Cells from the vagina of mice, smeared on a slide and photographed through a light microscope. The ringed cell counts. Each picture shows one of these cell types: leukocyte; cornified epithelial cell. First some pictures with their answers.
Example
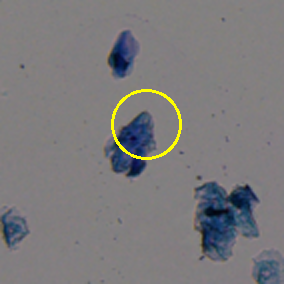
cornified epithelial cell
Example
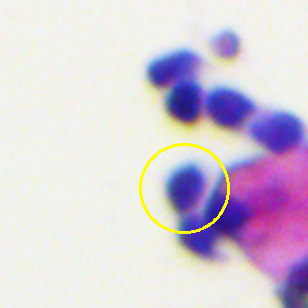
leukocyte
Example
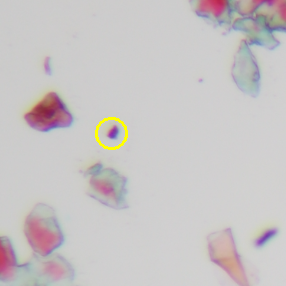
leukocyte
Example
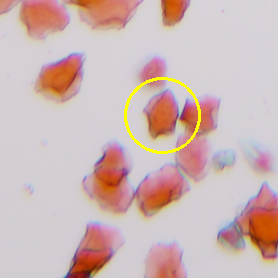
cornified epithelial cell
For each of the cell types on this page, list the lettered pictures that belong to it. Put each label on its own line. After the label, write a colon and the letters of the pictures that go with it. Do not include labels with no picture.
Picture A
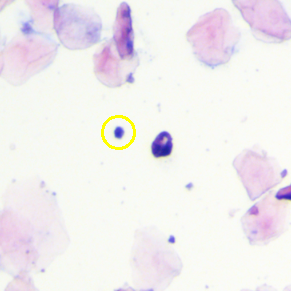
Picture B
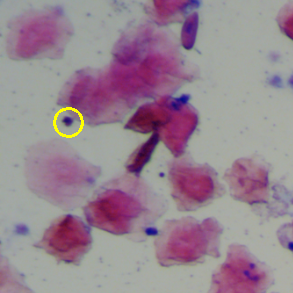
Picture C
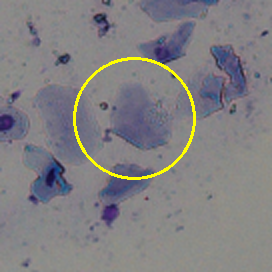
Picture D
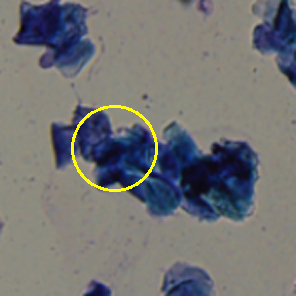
leukocyte: A, B
cornified epithelial cell: C, D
